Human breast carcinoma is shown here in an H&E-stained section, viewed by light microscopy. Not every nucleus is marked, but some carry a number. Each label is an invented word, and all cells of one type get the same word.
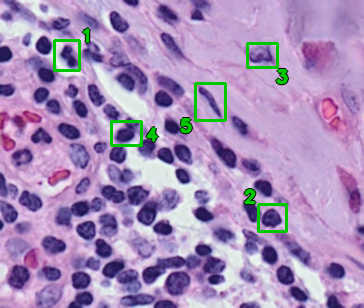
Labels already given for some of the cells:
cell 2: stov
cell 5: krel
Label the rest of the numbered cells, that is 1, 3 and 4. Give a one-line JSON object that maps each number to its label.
{"1": "stov", "3": "krel", "4": "stov"}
